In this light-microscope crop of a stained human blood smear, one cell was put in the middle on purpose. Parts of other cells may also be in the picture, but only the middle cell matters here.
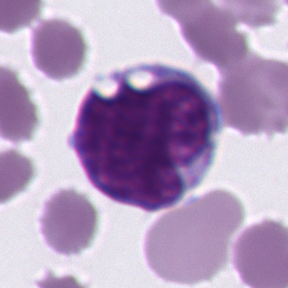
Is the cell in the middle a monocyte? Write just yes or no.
yes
